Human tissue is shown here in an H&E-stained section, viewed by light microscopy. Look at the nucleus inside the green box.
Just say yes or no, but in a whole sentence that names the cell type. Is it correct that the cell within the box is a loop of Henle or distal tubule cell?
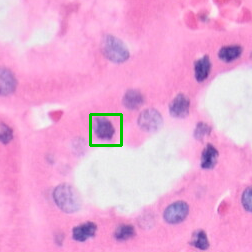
Yes, the cell within the box is correctly named as a loop of Henle or distal tubule cell.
